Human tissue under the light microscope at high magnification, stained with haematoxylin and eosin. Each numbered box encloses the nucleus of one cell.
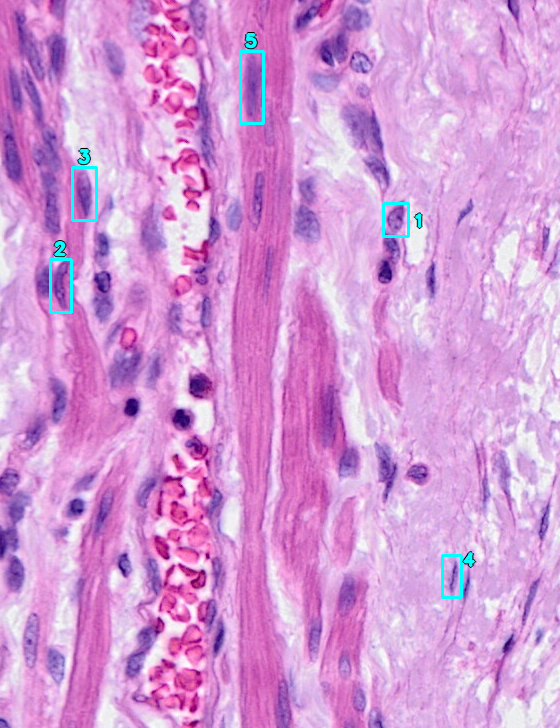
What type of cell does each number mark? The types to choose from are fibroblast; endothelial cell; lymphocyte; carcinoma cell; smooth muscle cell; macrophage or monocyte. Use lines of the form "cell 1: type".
cell 1: macrophage or monocyte
cell 2: smooth muscle cell
cell 3: smooth muscle cell
cell 4: fibroblast
cell 5: smooth muscle cell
